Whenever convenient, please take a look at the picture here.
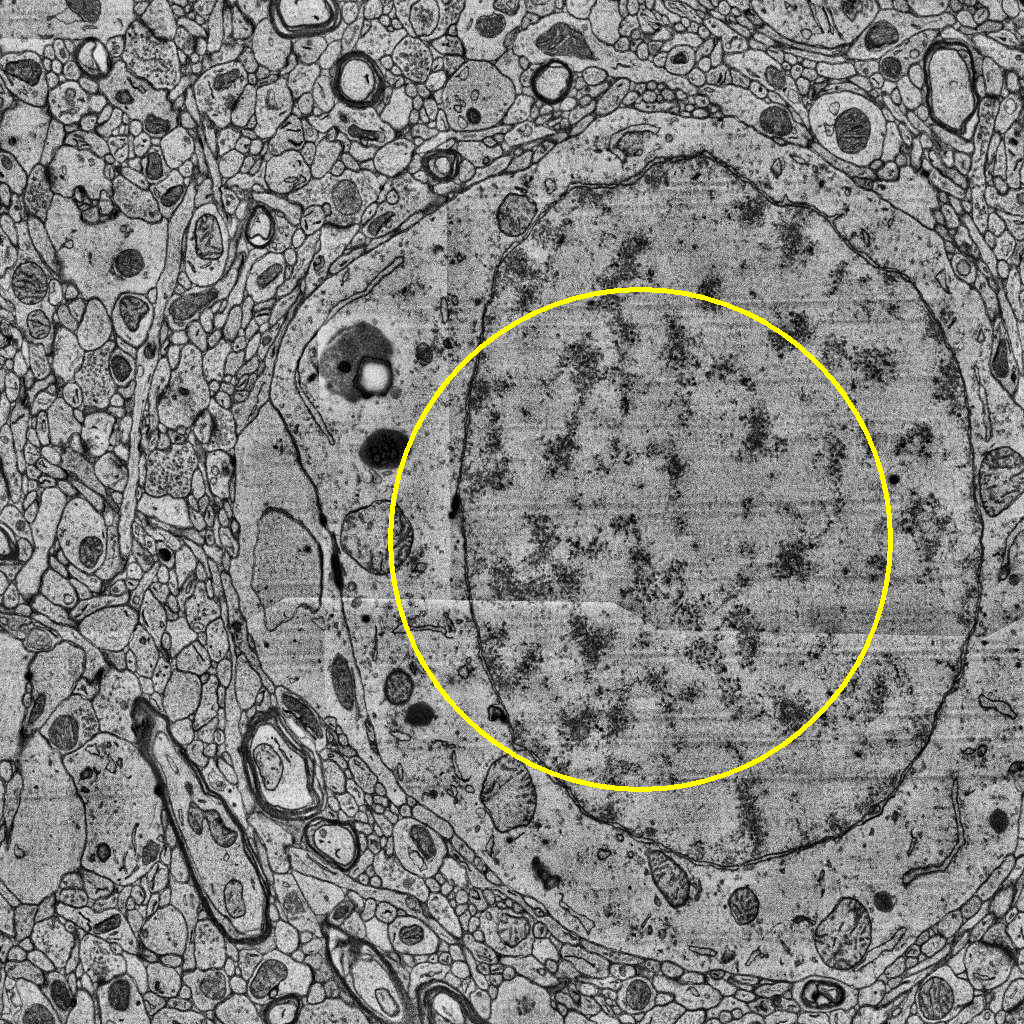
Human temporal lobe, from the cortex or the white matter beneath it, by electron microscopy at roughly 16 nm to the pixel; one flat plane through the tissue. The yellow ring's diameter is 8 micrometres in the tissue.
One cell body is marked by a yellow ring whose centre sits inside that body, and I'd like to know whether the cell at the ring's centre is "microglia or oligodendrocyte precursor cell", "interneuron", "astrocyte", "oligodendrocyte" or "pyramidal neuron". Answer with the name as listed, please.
pyramidal neuron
